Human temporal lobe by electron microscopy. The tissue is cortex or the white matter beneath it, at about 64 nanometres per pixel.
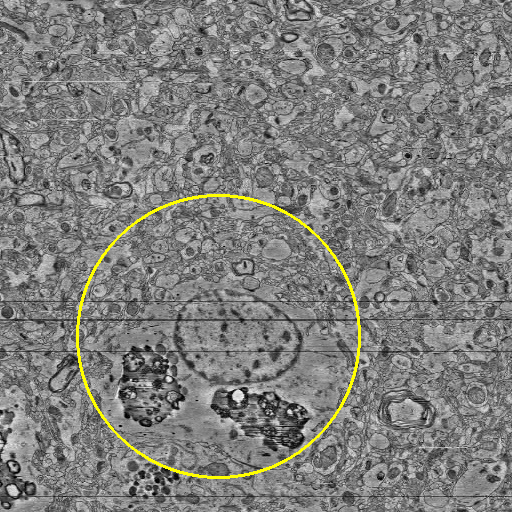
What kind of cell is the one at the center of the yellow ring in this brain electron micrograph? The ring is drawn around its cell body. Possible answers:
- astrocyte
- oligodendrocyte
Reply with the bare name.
astrocyte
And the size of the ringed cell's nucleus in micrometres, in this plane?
The nucleus has a long axis of about 8 micrometres and a short axis of about 6 micrometres in this plane.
